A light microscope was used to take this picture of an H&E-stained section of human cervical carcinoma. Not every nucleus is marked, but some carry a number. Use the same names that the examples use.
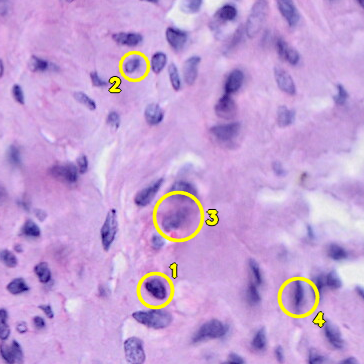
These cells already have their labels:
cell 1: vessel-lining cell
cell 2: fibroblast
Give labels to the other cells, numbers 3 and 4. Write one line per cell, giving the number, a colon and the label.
3: vessel-lining cell
4: fibroblast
